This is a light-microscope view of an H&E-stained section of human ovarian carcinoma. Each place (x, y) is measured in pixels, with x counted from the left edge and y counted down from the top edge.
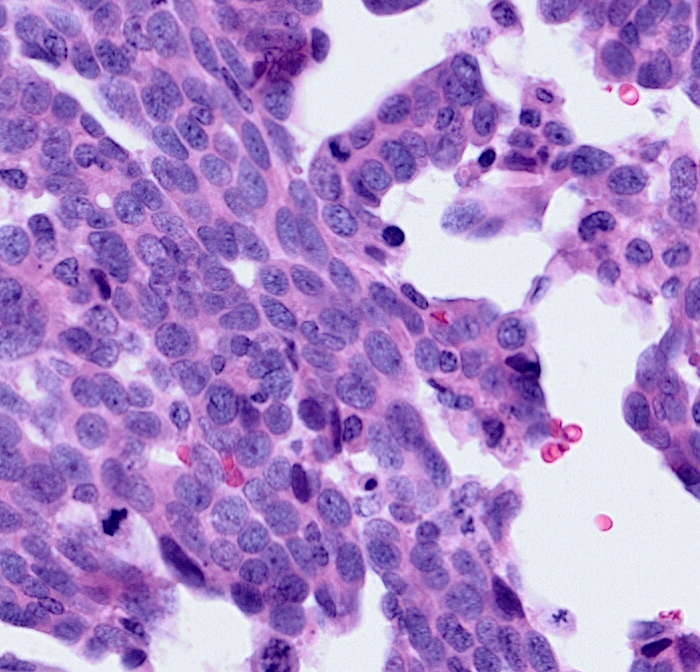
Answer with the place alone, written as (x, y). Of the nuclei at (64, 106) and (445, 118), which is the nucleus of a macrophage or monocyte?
(445, 118)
